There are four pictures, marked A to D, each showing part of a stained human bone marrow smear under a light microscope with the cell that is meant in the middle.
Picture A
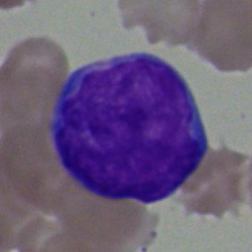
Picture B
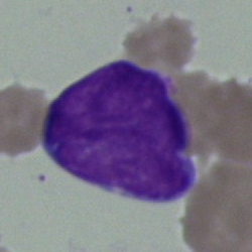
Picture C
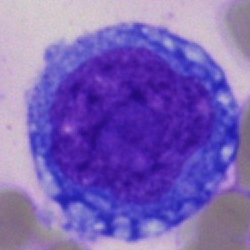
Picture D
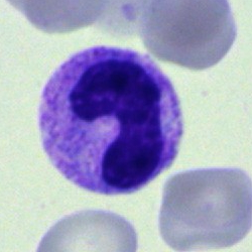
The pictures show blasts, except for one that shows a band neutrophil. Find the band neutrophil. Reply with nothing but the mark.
D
